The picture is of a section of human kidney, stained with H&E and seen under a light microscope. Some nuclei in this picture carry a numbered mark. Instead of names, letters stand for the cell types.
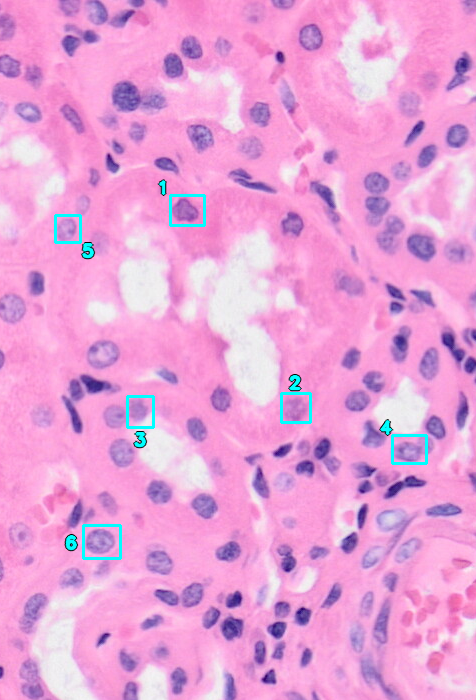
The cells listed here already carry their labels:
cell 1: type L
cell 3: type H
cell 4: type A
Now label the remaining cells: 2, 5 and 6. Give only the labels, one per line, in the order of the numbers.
type L
type L
type A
